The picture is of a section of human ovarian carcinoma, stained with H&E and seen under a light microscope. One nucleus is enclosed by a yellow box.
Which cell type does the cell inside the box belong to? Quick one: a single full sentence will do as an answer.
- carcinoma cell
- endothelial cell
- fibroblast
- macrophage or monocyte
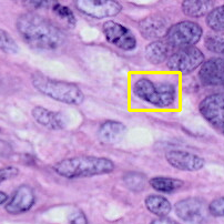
It is a macrophage or monocyte that the cell inside the box represents.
